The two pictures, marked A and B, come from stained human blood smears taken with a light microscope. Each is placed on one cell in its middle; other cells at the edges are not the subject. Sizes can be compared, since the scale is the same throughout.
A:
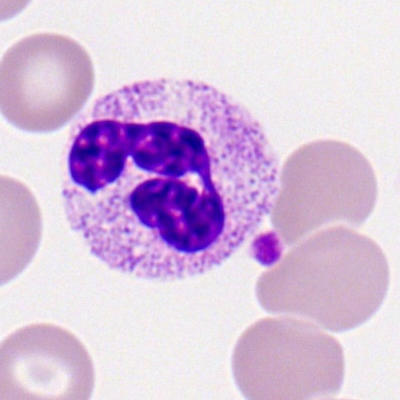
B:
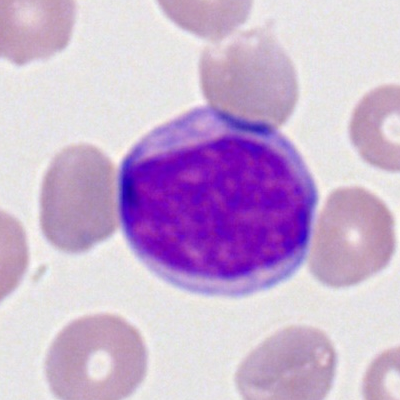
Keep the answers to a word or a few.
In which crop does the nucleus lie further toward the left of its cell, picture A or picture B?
A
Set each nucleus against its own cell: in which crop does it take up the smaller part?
A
